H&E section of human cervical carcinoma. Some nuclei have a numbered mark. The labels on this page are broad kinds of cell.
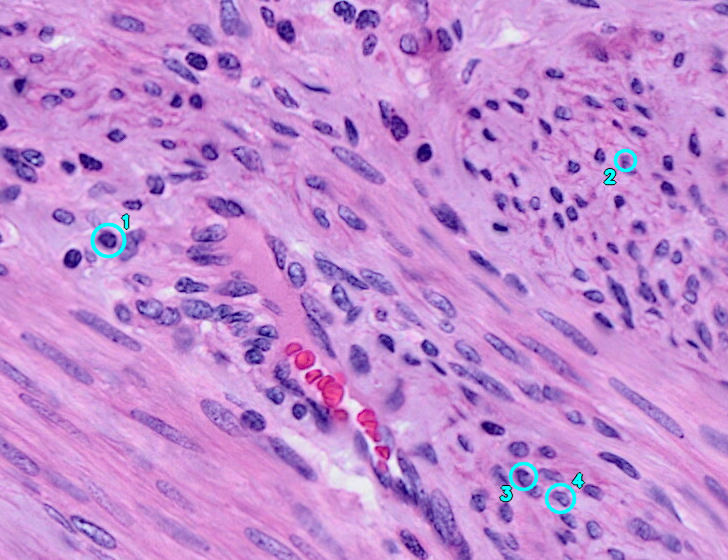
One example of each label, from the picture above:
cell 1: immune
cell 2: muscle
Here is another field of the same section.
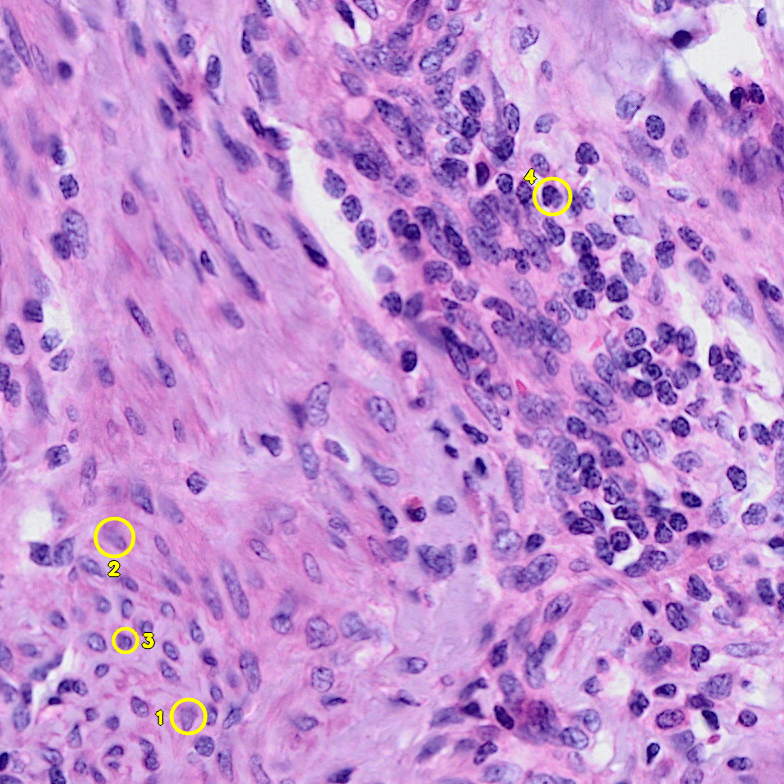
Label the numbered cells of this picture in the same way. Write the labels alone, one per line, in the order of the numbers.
muscle
muscle
muscle
immune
